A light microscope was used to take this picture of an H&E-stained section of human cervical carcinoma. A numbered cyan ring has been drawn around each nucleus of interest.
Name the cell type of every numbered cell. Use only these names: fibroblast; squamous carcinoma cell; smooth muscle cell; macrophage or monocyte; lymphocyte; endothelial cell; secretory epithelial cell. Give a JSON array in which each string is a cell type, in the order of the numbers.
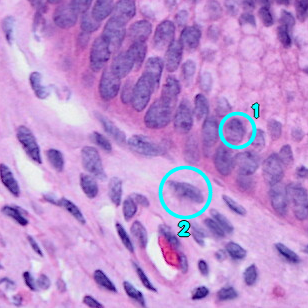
["secretory epithelial cell", "fibroblast"]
